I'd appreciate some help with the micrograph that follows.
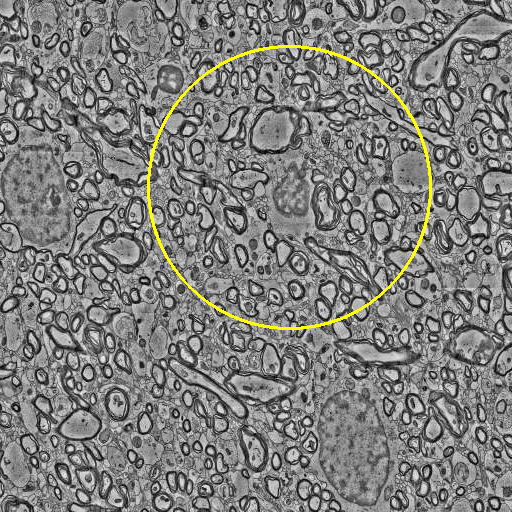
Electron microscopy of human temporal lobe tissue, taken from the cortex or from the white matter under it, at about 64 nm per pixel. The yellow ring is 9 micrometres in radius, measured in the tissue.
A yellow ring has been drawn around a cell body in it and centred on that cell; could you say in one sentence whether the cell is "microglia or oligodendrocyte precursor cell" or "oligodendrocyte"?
It is an oligodendrocyte at the centre of the ring.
